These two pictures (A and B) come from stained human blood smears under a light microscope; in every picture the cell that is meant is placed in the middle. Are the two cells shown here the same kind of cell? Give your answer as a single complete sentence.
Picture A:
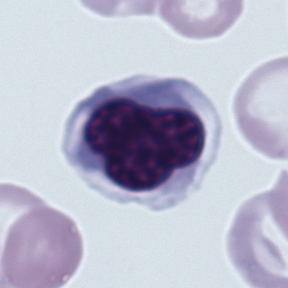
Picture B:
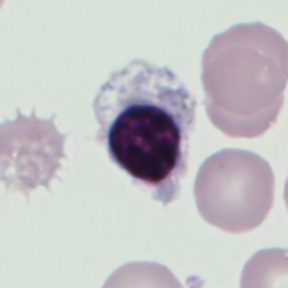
Yes, they are the same type: both are normoblasts.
